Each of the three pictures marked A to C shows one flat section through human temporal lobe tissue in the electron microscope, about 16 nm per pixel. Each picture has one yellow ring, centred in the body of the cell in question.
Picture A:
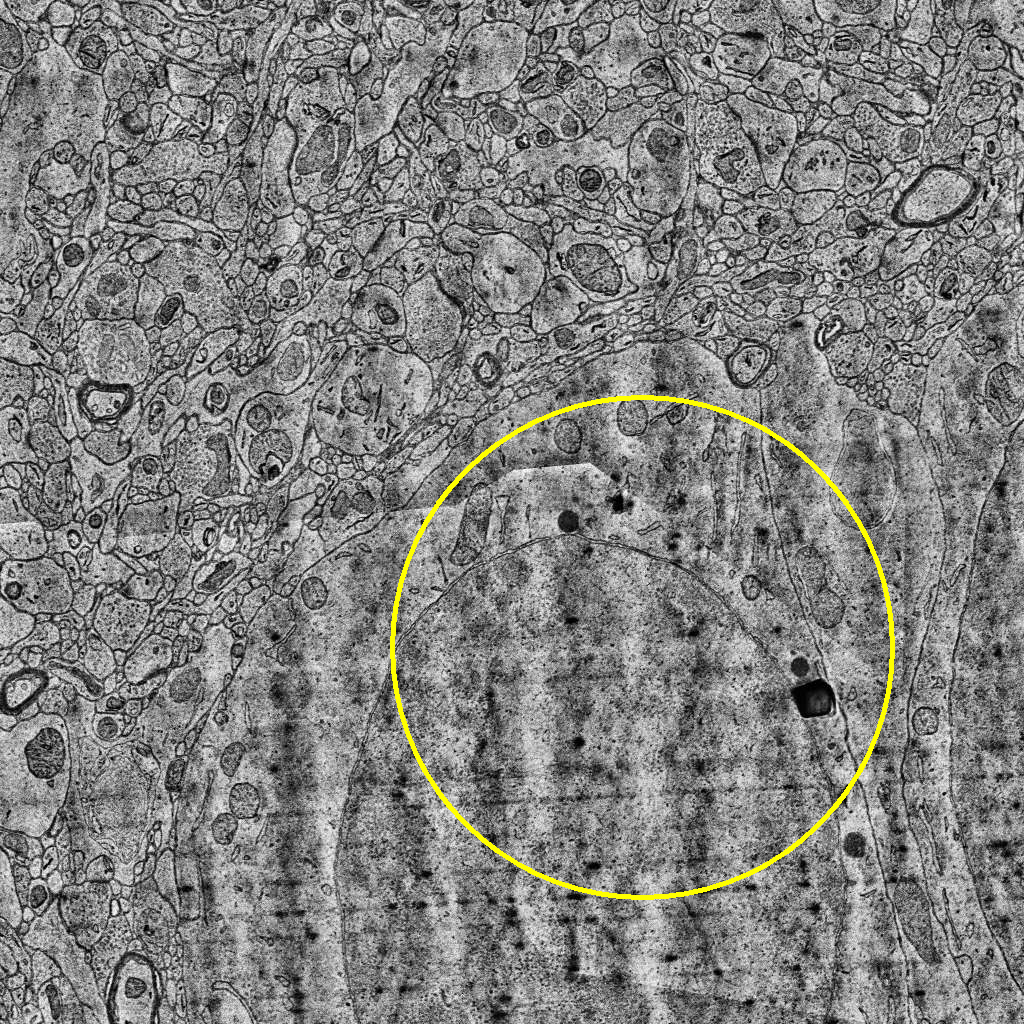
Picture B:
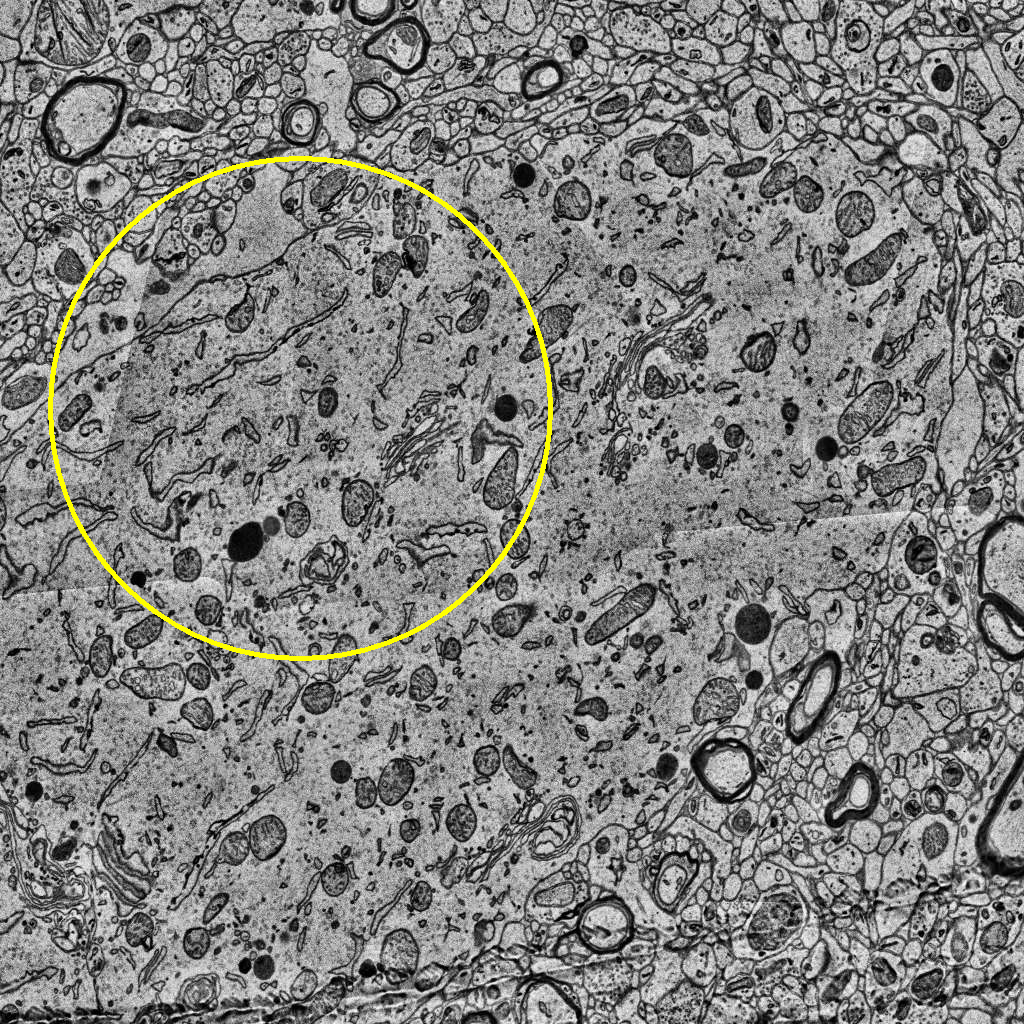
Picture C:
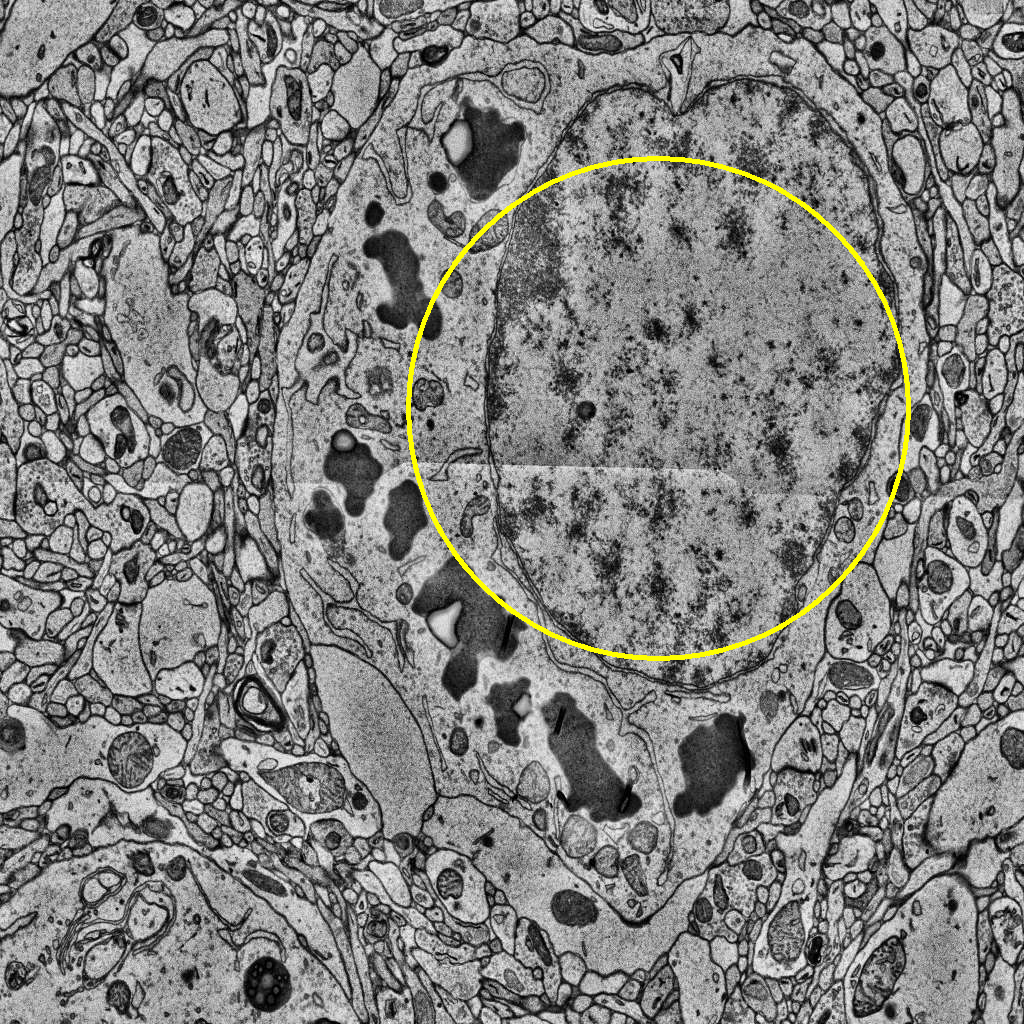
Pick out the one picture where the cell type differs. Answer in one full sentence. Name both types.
Picture C differs, because its cell is an interneuron and the rest are pyramidal neurons.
